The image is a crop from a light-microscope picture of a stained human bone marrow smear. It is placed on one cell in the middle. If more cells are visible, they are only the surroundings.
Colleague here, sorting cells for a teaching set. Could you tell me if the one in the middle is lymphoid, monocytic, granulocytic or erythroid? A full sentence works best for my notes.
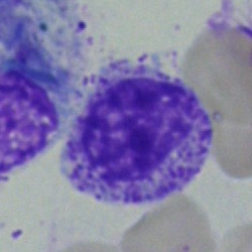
The lineage represented by the cell in the middle is granulocytic.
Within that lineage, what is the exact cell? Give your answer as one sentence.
At the middle of the frame sits a myelocyte.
